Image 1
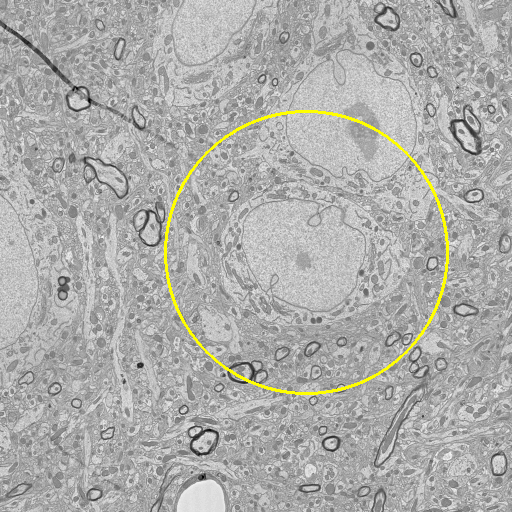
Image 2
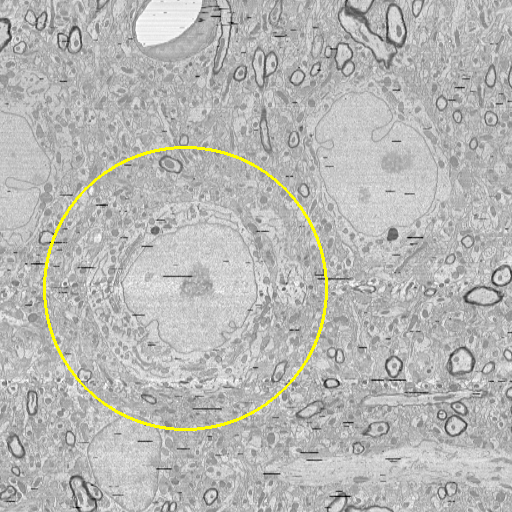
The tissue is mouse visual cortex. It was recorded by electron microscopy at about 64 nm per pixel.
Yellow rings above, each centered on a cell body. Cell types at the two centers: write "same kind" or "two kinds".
same kind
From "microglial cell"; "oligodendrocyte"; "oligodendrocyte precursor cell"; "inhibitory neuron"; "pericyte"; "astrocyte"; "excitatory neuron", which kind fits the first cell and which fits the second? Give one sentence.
The ring centre holds an inhibitory neuron in each of the two pictures.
